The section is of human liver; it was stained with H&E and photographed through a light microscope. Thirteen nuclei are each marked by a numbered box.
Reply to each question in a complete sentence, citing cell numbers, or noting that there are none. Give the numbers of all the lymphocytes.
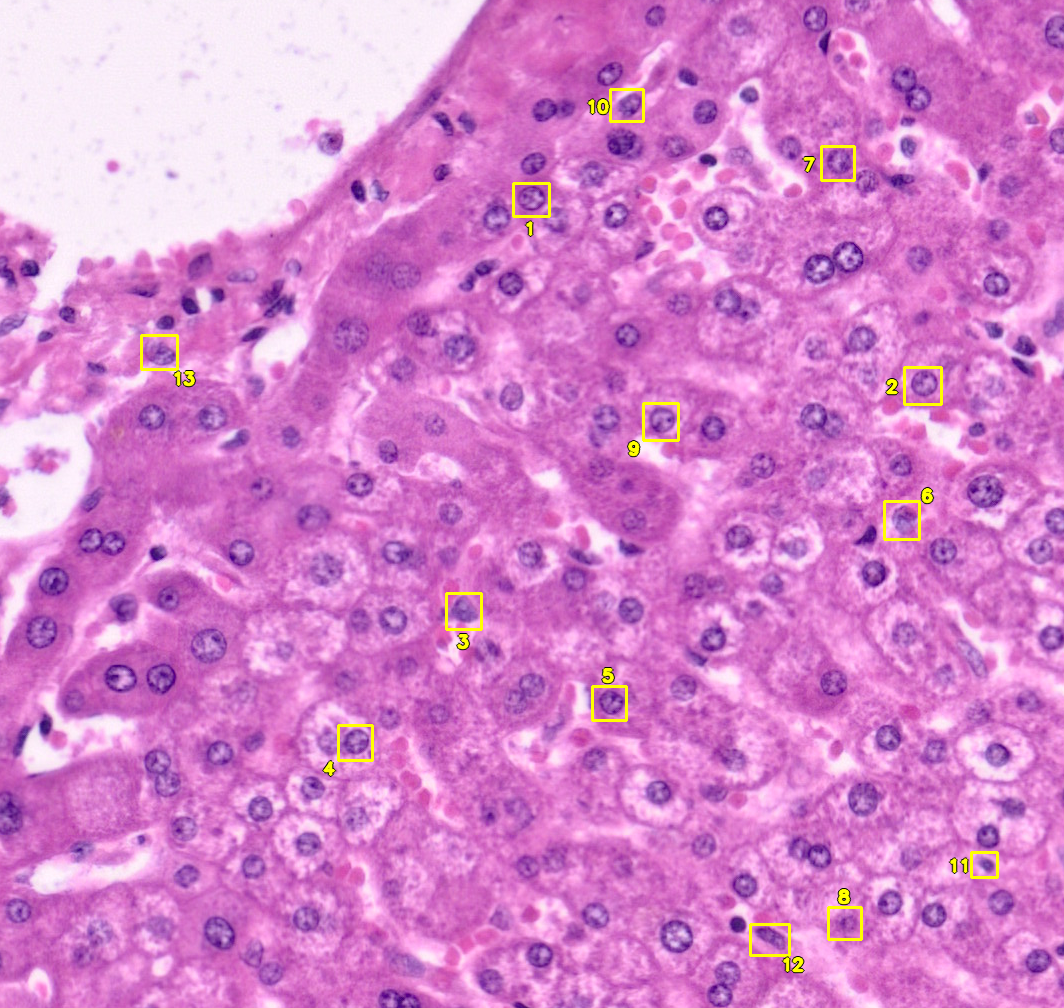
Exactly one of the numbered cells is a lymphocyte, namely cell 11.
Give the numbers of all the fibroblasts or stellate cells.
The nucleus labelled 13 alone belongs to a fibroblast or stellate cell; the other marked nuclei do not.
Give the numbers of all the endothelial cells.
In this section, the cells labelled 3 and 6 are endothelial cells.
